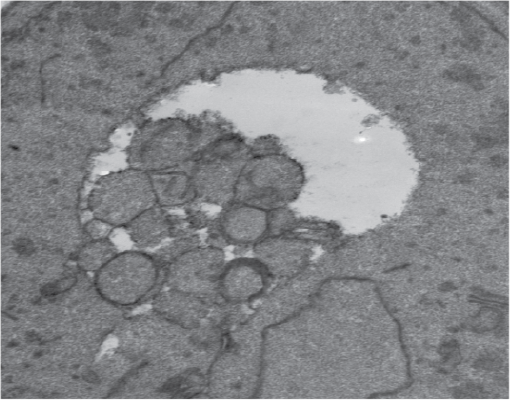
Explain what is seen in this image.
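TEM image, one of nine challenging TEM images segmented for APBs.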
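A transmission electron micrograph of part of a cell. A large, roughly circular compartment takes up the centre of the field. Its upper right part is filled with pale, nearly featureless, electron-lucent material. Its lower left part holds a crowded cluster of round bodies of varied size. Each body is bounded by a thin dark membrane, and their interiors are grey and finely granular. Some of these bodies press against each other. Thin, dark, wavy membrane profiles run through the surrounding grey cytoplasm. The appearance fits many small membrane-bound bodies lying inside a large vacuole.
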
